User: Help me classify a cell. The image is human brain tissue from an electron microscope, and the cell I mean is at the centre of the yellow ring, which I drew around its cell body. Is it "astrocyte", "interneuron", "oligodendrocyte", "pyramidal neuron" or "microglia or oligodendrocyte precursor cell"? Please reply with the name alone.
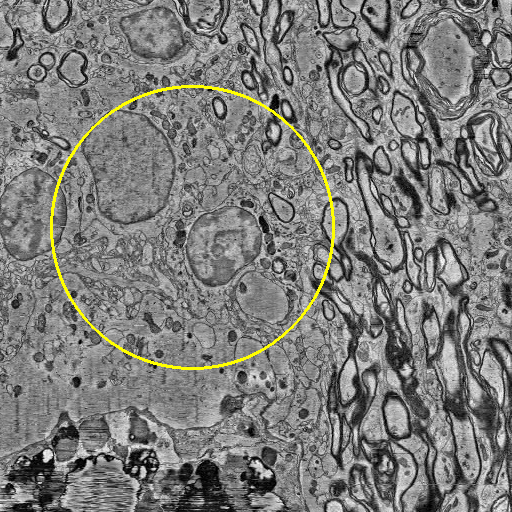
microglia or oligodendrocyte precursor cell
